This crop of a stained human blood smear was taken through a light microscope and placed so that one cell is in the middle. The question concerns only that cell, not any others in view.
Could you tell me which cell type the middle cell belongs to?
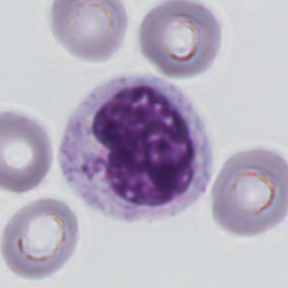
metamyelocyte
